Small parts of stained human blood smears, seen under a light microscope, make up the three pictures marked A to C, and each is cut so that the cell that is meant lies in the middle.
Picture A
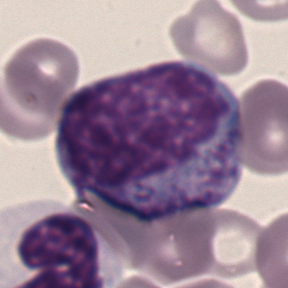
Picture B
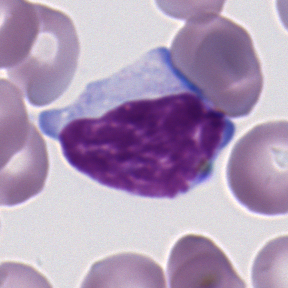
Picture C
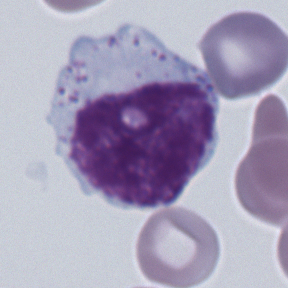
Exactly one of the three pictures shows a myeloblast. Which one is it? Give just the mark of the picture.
B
